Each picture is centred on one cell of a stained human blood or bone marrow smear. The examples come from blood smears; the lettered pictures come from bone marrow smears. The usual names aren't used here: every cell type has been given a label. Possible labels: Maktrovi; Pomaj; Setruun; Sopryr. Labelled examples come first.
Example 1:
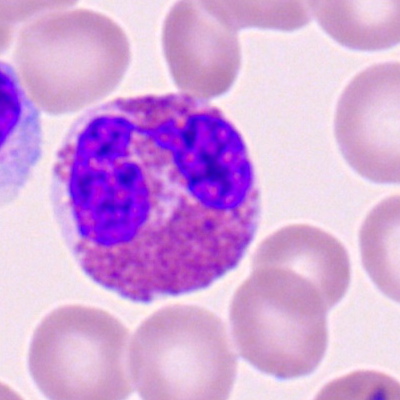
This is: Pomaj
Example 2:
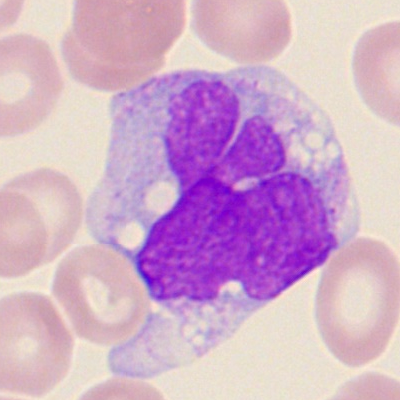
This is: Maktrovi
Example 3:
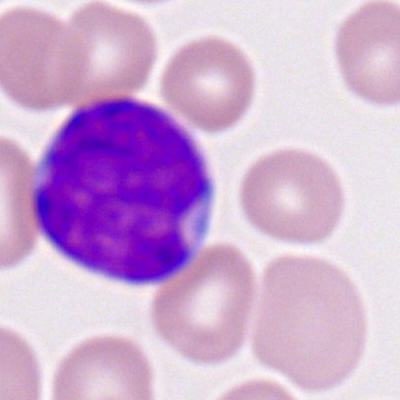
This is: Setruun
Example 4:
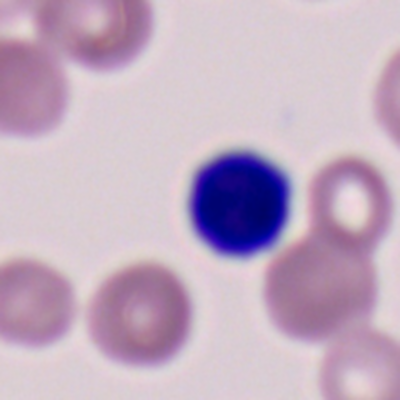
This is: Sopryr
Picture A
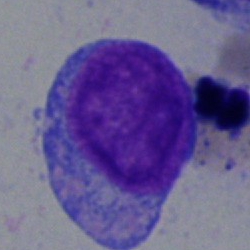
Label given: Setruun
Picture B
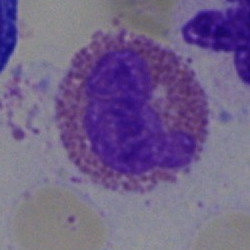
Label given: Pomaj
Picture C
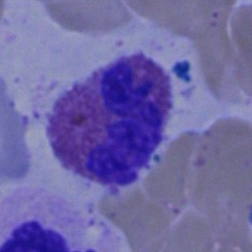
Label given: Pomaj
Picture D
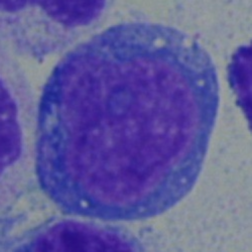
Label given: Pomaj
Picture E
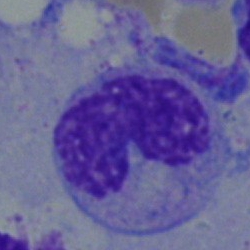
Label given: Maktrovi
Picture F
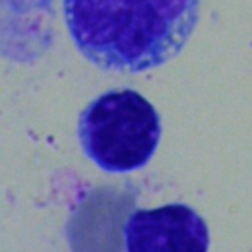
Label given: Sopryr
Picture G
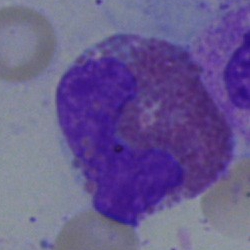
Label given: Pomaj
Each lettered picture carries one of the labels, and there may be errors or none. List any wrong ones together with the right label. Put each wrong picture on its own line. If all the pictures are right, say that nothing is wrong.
D: change Pomaj to Setruun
